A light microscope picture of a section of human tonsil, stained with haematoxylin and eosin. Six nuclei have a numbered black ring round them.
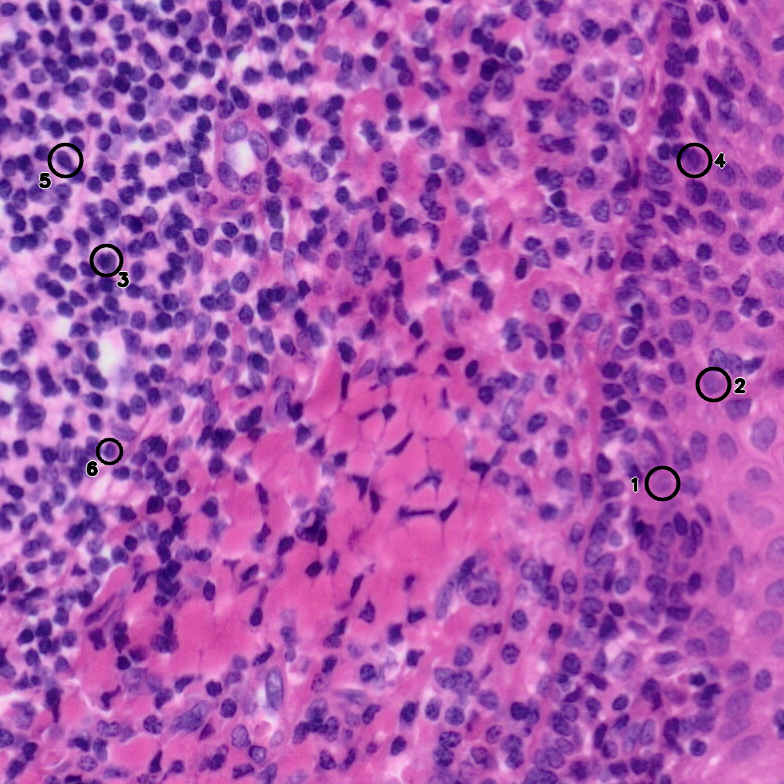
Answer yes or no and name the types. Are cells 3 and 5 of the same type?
Yes, both are small lymphocytes.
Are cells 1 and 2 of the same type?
Yes, both are squamous epithelial cells.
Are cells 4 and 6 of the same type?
No, cell 4 is a squamous epithelial cell and cell 6 is a small lymphocyte.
